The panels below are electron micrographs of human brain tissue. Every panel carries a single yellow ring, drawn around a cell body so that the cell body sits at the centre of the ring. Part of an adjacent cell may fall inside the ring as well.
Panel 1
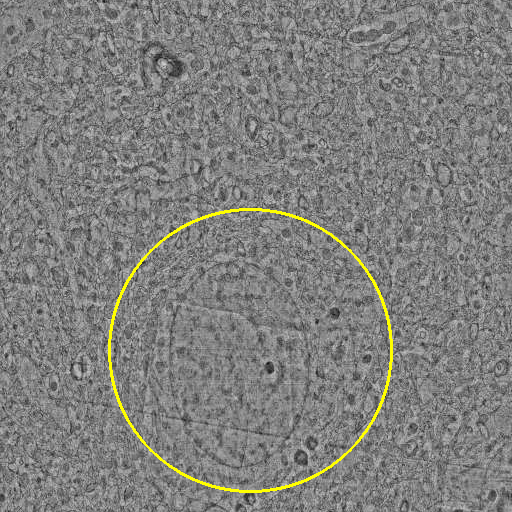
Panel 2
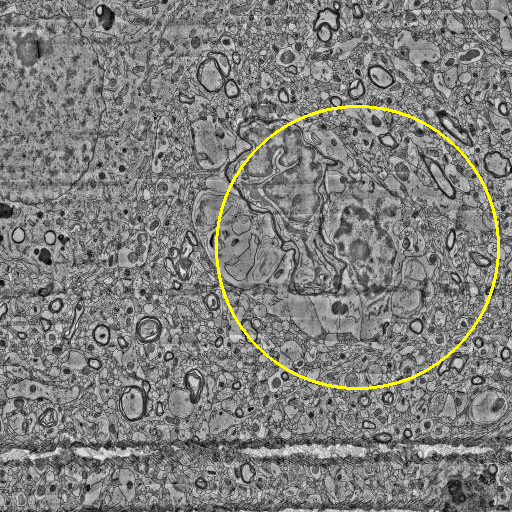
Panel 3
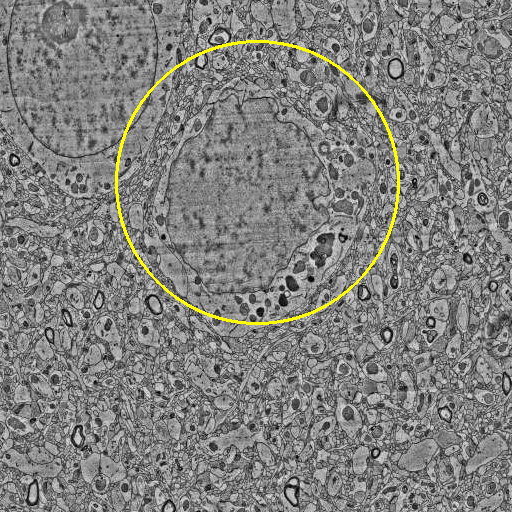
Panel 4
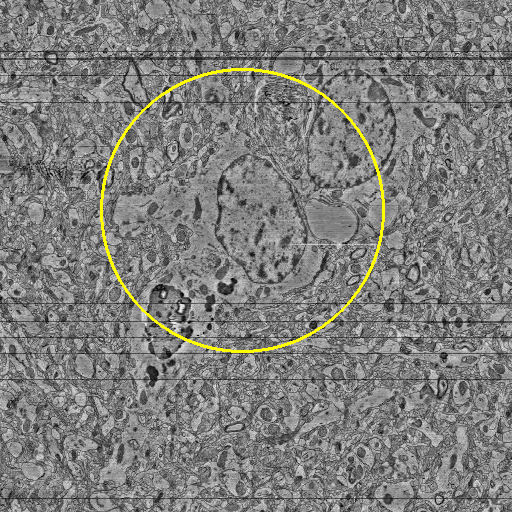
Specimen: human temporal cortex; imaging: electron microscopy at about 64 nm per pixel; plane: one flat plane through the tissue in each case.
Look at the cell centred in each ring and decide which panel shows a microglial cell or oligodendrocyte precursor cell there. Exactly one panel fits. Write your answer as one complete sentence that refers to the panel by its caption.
Panel 2 has it at the centre of its ring.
